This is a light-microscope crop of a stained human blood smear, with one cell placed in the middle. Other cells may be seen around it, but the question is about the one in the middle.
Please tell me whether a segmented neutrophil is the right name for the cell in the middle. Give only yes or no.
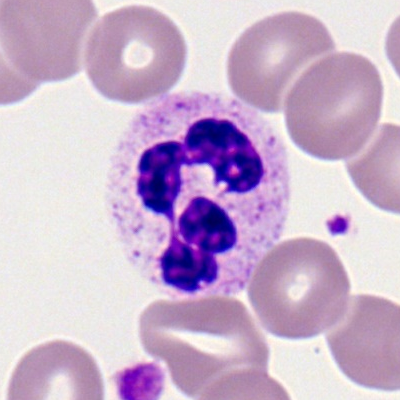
yes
